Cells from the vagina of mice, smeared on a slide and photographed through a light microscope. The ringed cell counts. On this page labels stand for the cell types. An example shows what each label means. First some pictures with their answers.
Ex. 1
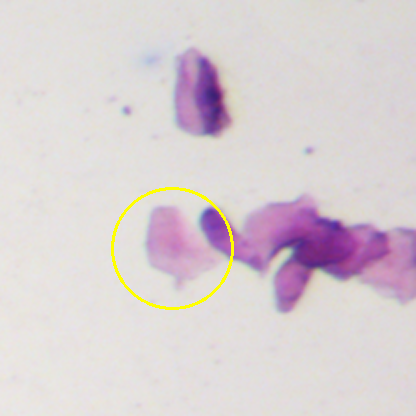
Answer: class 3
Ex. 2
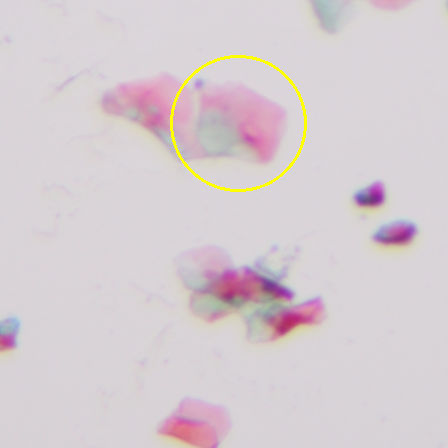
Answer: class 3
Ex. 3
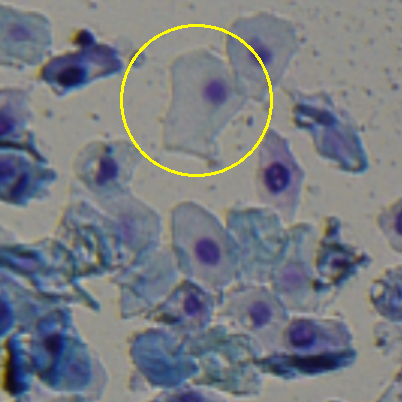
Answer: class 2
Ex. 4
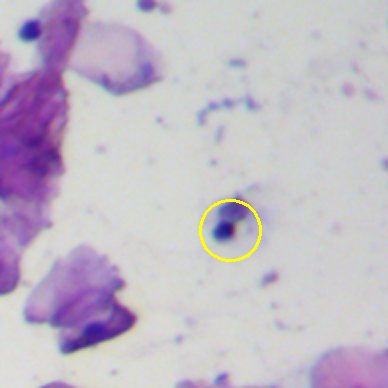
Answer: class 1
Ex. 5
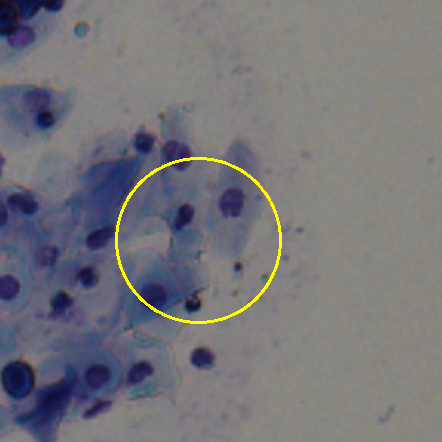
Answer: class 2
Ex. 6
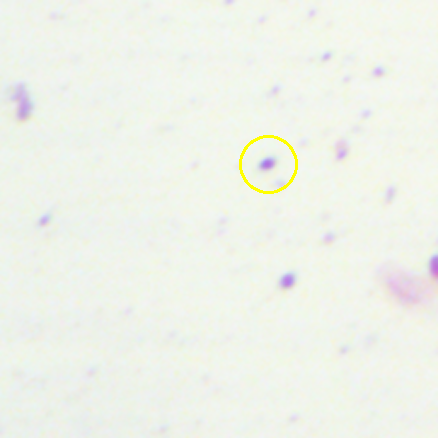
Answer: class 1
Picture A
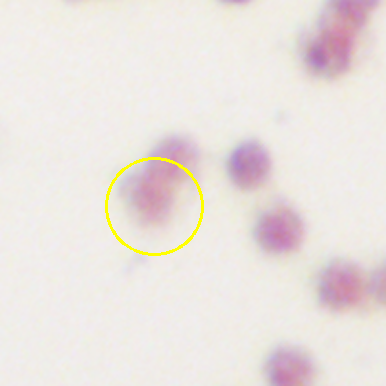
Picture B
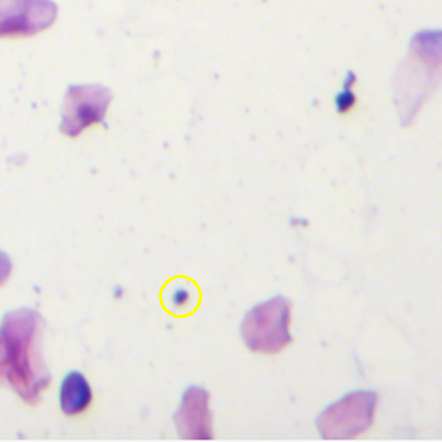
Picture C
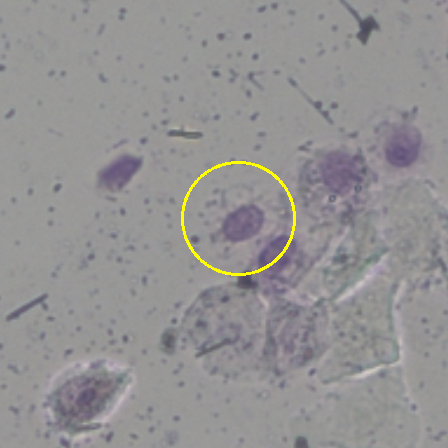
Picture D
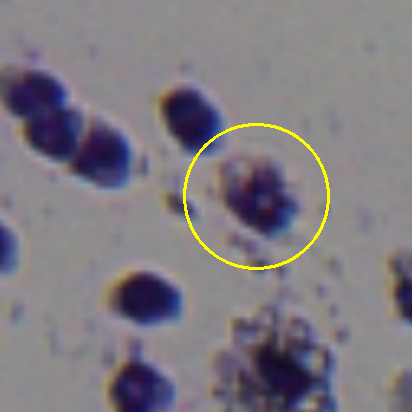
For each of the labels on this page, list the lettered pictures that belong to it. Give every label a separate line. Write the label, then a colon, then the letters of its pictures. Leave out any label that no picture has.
class 2: C
class 1: A, B, D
